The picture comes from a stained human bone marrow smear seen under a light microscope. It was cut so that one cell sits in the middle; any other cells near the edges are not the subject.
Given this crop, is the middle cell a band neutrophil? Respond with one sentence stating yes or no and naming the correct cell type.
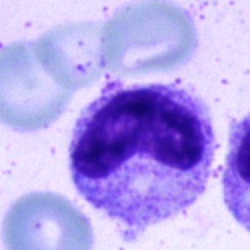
No, the middle cell is actually a metamyelocyte rather than a band neutrophil.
